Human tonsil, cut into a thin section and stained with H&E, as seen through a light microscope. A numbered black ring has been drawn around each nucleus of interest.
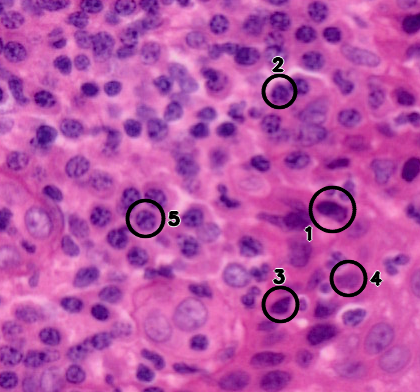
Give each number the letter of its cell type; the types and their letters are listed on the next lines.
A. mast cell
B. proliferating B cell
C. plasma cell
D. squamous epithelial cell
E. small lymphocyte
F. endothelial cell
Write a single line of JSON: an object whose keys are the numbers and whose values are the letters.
{"1": "D", "2": "C", "3": "D", "4": "D", "5": "C"}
